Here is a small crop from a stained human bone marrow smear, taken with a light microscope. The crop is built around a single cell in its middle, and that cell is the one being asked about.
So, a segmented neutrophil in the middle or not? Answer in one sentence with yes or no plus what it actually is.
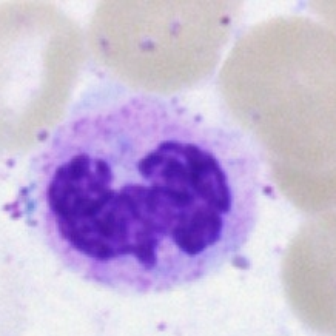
Yes, the cell in the center of the field is a segmented neutrophil.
